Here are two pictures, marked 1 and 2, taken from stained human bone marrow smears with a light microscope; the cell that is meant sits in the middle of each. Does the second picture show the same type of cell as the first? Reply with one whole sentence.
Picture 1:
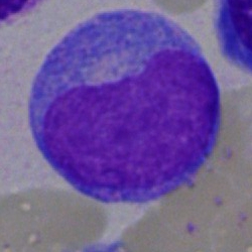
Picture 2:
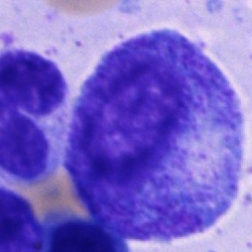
Yes, the two pictures both show promyelocytes.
